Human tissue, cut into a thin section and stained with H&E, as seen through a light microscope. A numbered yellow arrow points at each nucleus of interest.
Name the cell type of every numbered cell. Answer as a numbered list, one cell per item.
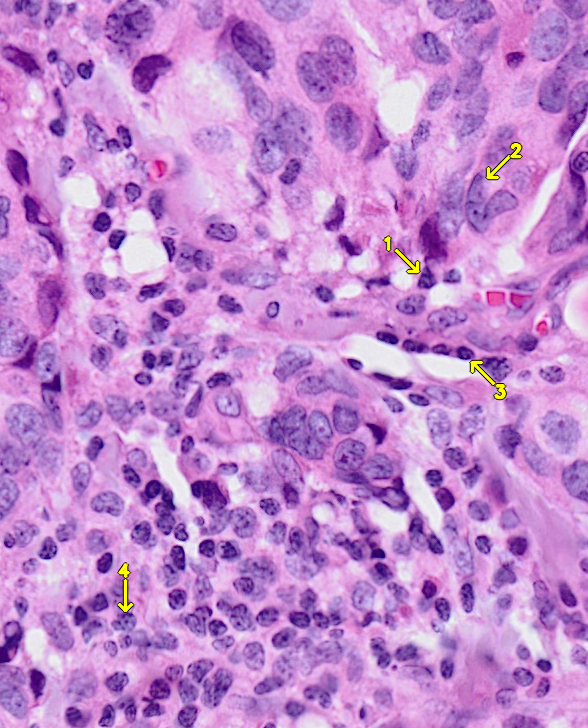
1. lymphocyte
2. carcinoma cell
3. lymphocyte
4. lymphocyte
